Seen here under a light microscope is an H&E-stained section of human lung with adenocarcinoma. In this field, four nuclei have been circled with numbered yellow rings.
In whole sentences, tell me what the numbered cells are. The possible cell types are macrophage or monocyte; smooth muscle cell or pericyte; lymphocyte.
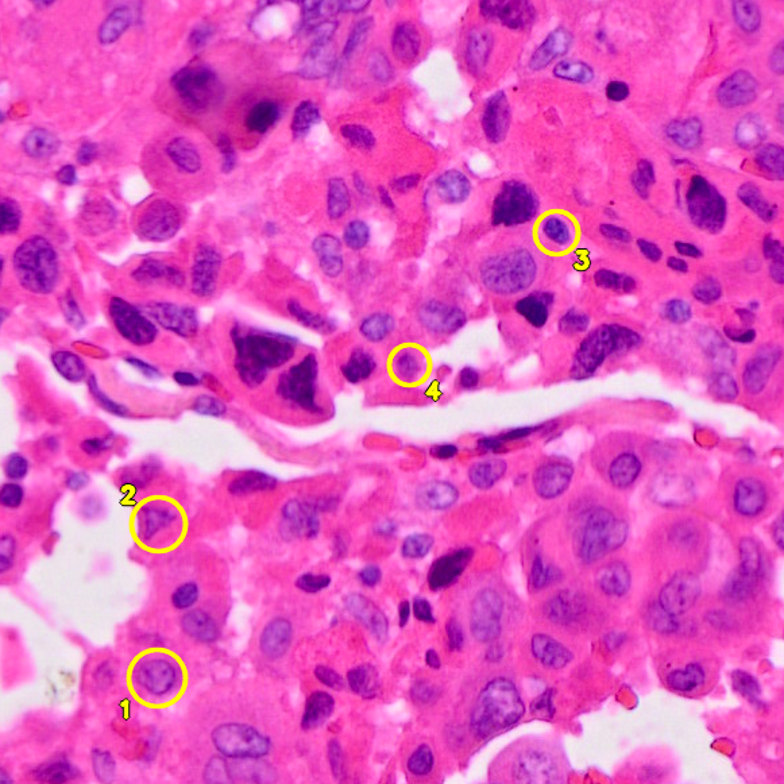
Cells 1, 2 and 4 are macrophages or monocytes. Cell 3 is a lymphocyte.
